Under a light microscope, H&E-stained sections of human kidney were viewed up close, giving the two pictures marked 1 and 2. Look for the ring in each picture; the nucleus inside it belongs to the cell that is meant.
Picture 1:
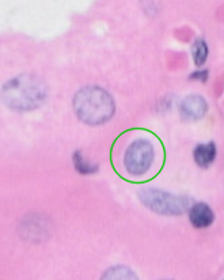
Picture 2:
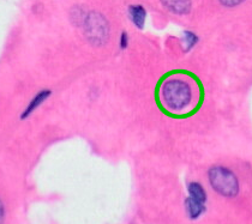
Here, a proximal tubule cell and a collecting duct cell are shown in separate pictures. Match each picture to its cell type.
1: collecting duct cell
2: proximal tubule cell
